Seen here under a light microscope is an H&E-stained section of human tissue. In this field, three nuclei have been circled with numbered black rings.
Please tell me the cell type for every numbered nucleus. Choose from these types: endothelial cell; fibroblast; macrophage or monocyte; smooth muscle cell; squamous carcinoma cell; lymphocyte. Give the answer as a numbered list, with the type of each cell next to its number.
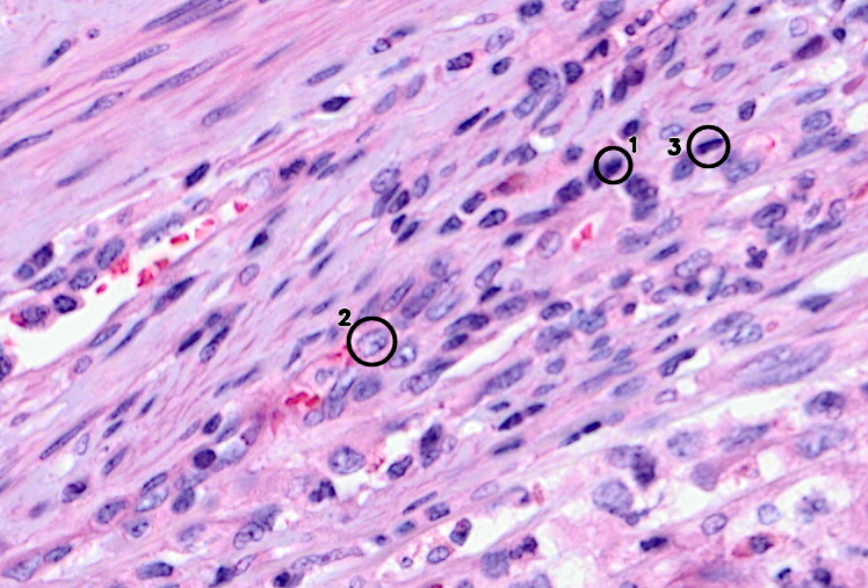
1. lymphocyte
2. endothelial cell
3. lymphocyte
